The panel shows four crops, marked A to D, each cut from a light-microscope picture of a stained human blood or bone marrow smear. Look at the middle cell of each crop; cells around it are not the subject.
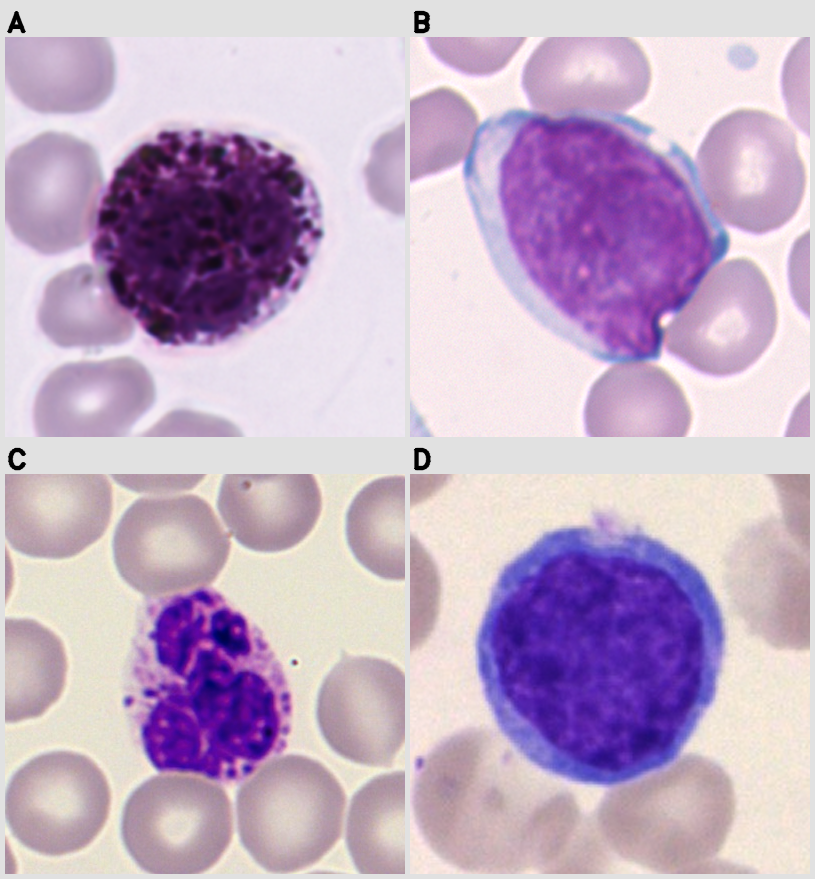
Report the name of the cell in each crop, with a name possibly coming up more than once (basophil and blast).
A: basophil
B: blast
C: basophil
D: blast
